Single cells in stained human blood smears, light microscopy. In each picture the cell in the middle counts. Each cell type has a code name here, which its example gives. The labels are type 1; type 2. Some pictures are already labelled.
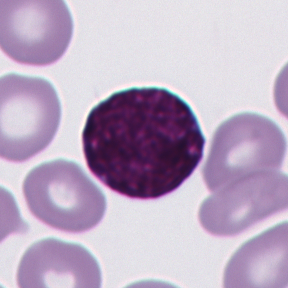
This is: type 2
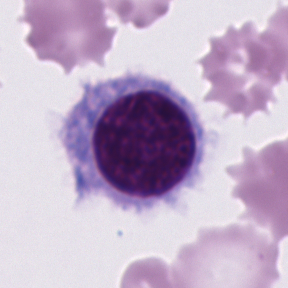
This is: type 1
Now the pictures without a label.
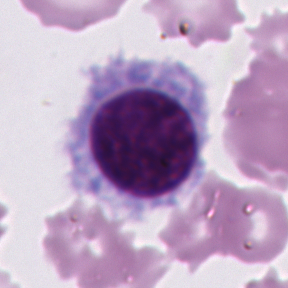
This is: type 1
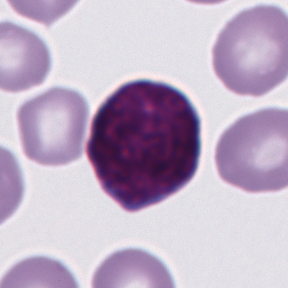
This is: type 2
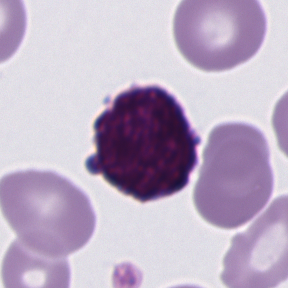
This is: type 2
